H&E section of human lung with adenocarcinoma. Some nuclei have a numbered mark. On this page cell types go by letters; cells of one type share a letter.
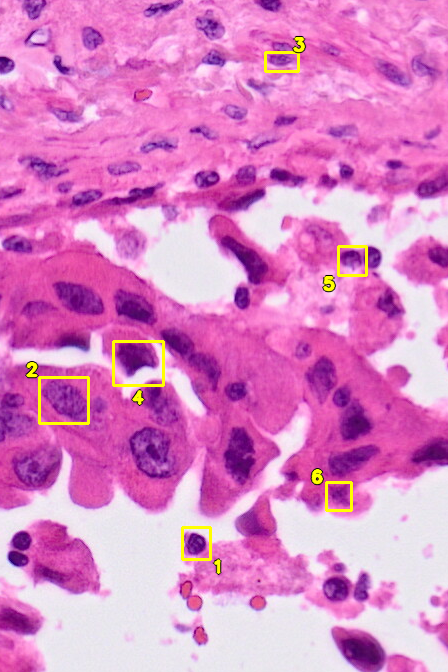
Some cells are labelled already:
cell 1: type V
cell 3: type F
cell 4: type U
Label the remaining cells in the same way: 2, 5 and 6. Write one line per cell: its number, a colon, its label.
2: type U
5: type V
6: type U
